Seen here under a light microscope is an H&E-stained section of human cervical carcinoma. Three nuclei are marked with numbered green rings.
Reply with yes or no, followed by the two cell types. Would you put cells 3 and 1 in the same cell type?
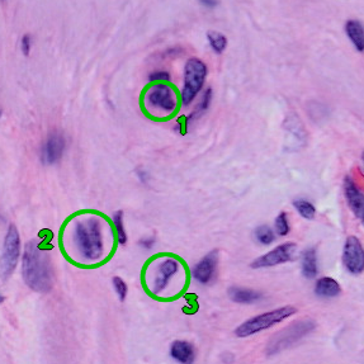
No, cell 3 is a fibroblast and cell 1 is an endothelial cell.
